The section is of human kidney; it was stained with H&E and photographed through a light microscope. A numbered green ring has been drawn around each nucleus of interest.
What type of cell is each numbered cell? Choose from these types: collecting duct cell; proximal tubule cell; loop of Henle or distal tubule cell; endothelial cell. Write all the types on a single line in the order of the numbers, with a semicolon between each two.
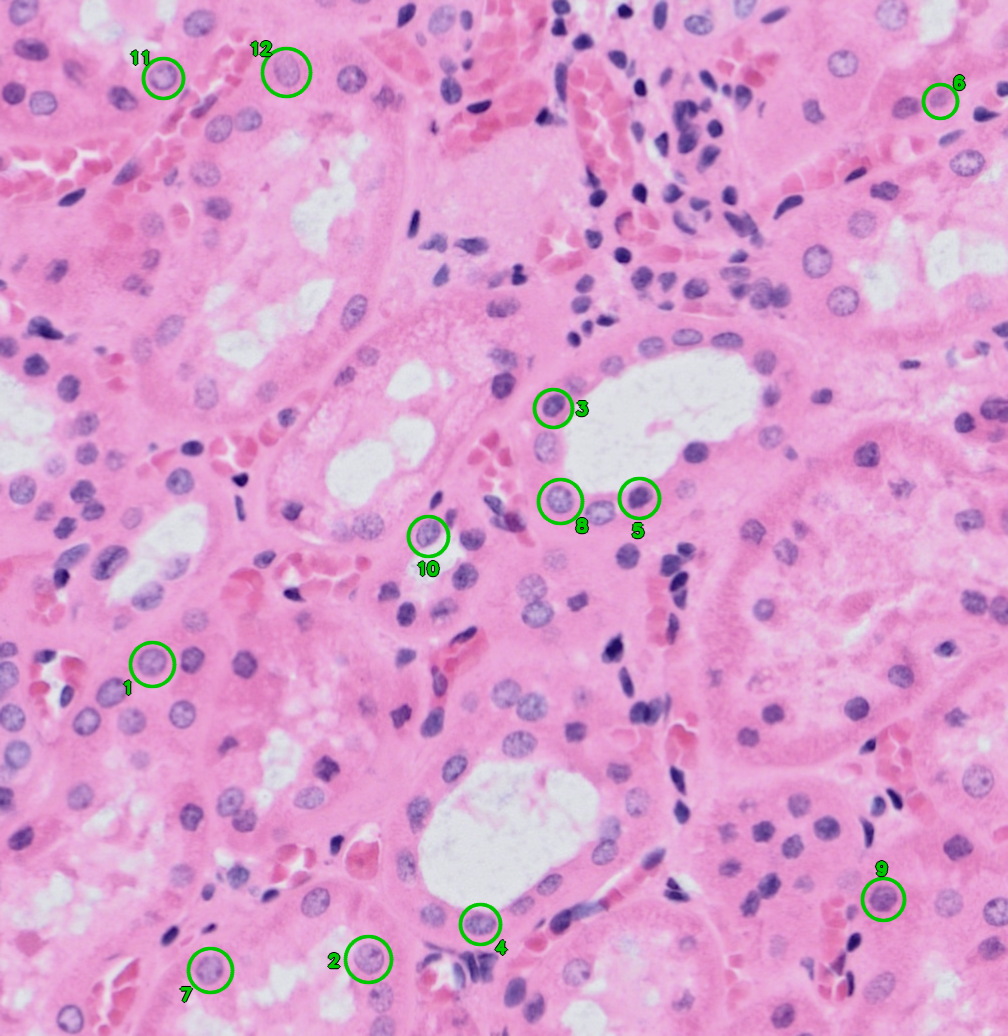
proximal tubule cell; proximal tubule cell; loop of Henle or distal tubule cell; loop of Henle or distal tubule cell; loop of Henle or distal tubule cell; proximal tubule cell; proximal tubule cell; loop of Henle or distal tubule cell; proximal tubule cell; loop of Henle or distal tubule cell; proximal tubule cell; proximal tubule cell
